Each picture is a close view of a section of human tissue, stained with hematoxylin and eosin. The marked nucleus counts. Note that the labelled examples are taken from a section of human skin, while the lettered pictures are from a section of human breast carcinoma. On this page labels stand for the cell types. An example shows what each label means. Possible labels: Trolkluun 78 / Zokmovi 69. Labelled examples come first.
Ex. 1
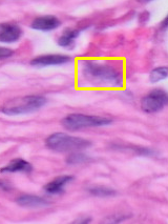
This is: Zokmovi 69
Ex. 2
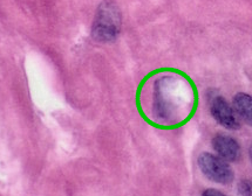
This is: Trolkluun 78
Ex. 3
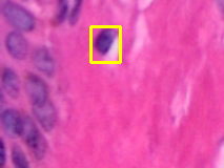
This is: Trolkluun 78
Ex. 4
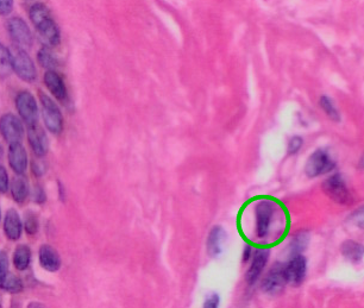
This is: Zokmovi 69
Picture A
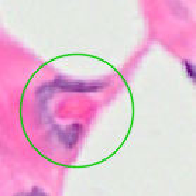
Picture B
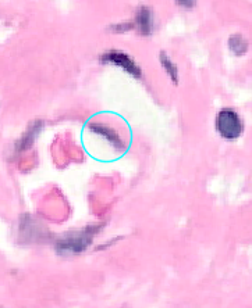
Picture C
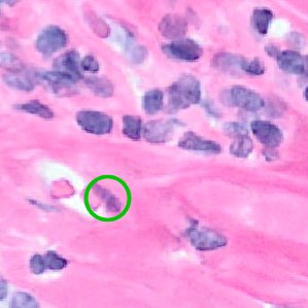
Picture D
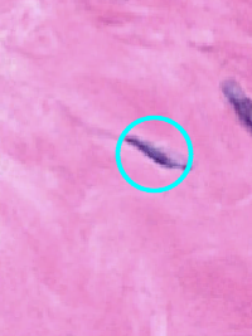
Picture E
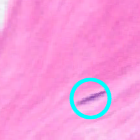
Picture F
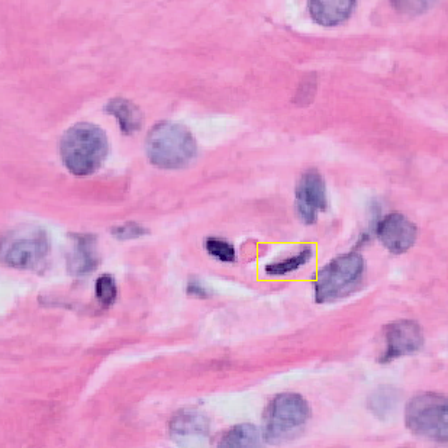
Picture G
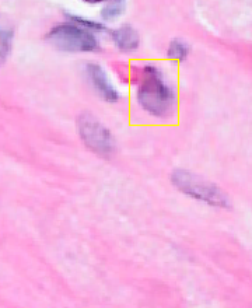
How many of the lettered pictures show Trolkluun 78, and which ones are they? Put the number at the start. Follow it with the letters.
2, namely D, E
